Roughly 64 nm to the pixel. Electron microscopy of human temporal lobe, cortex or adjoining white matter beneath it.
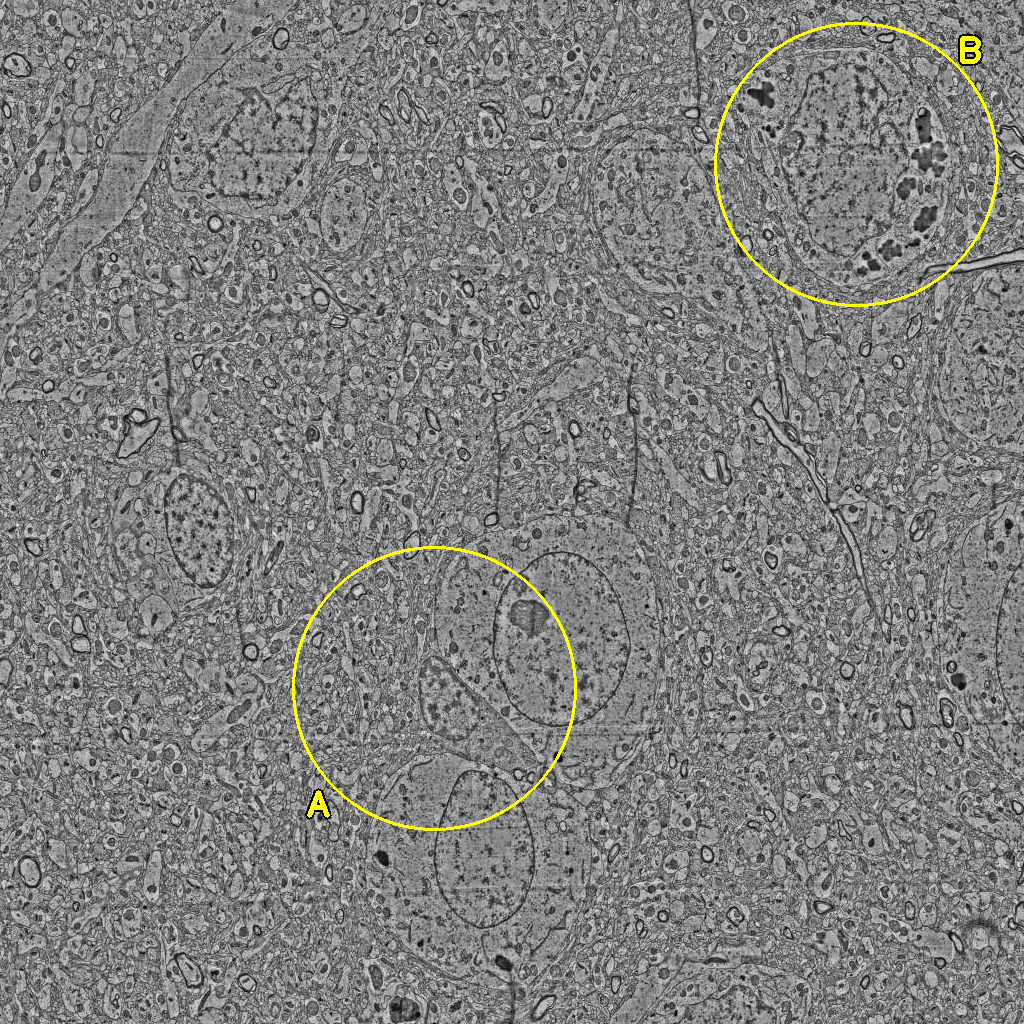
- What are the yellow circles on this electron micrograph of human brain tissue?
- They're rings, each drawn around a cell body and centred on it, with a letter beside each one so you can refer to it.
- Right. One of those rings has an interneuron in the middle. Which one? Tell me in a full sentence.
It's ring B.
